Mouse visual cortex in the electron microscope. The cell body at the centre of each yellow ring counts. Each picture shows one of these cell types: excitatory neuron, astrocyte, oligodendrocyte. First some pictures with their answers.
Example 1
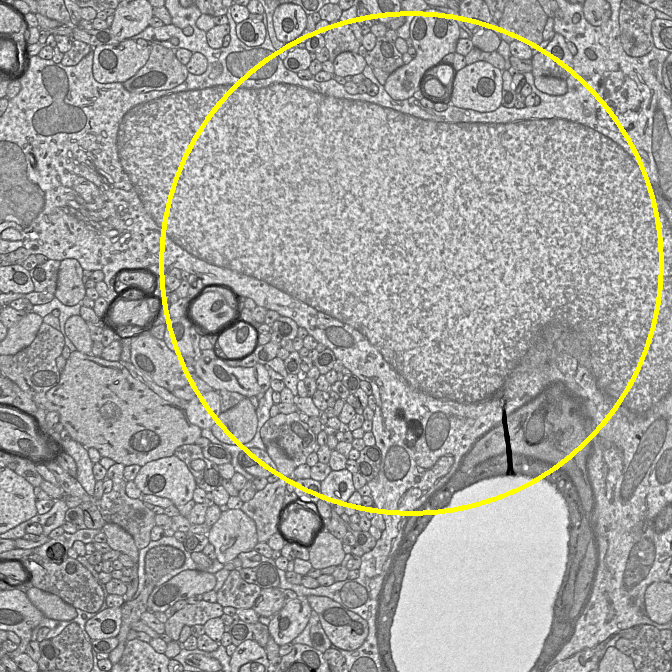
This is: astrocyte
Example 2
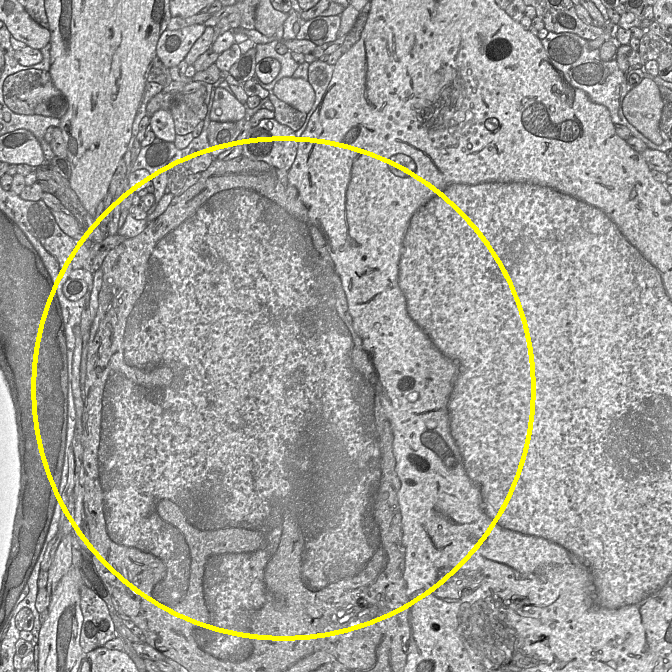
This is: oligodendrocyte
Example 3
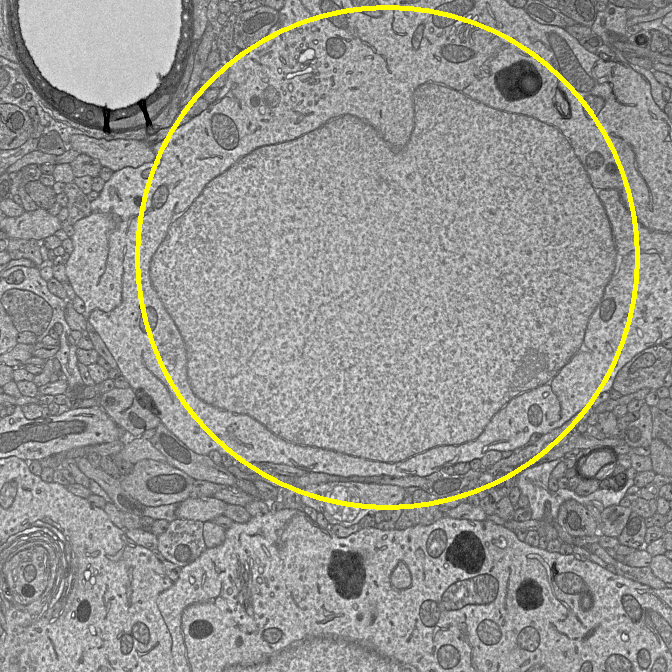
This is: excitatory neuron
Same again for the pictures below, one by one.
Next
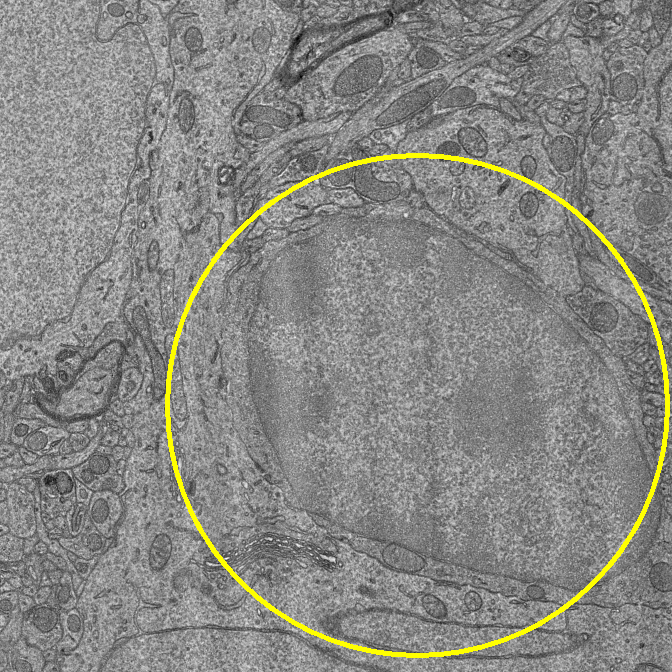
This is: oligodendrocyte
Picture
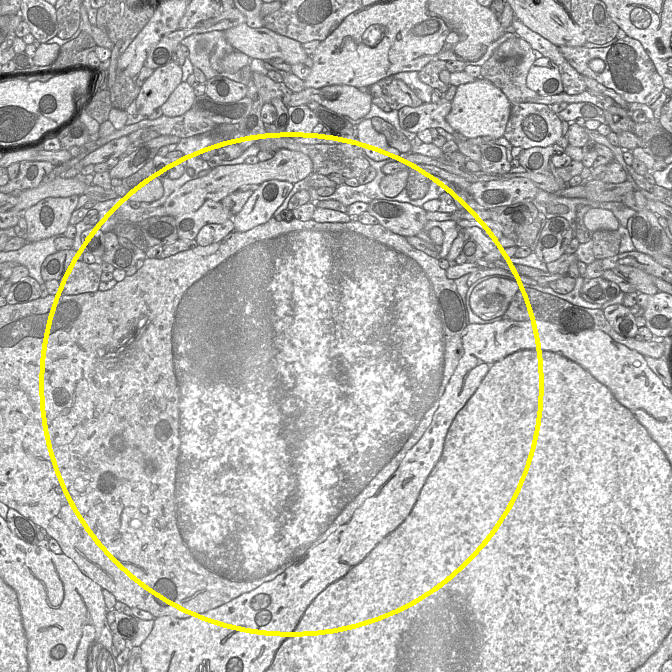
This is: oligodendrocyte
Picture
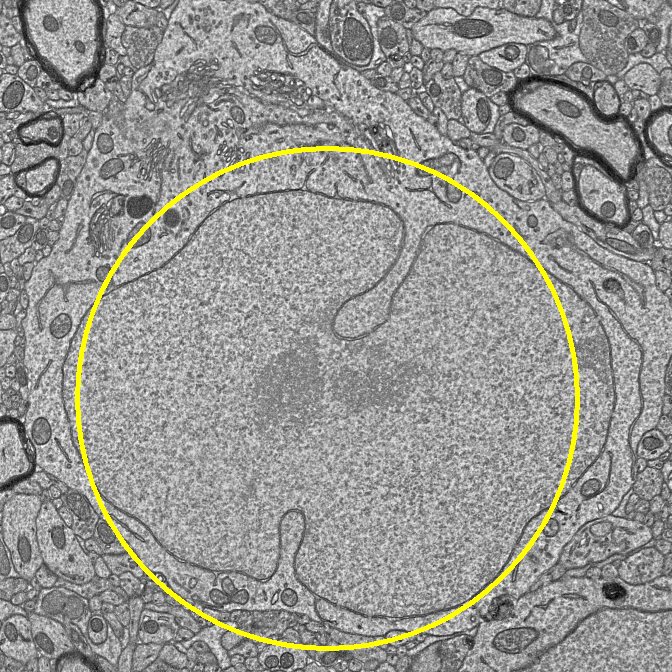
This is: excitatory neuron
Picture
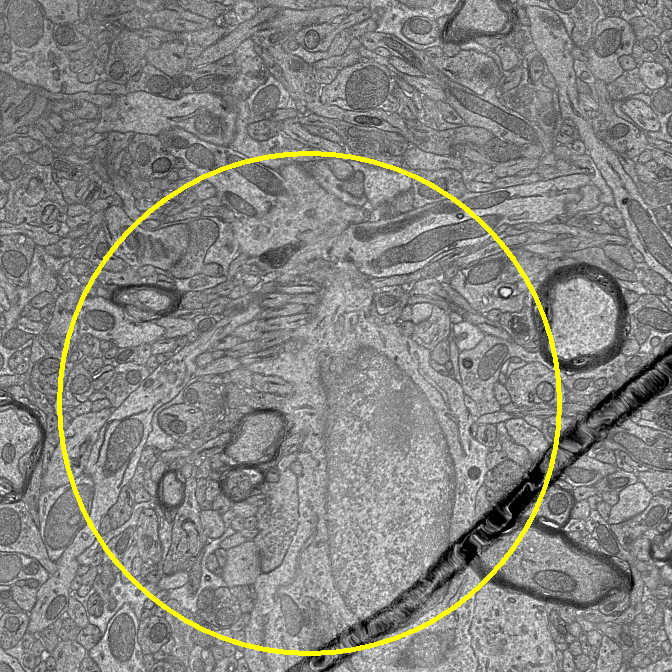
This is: oligodendrocyte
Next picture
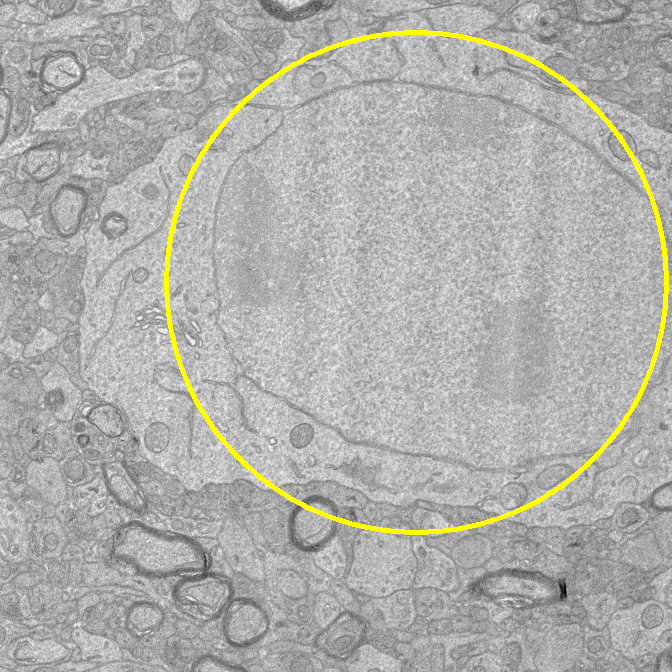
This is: excitatory neuron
